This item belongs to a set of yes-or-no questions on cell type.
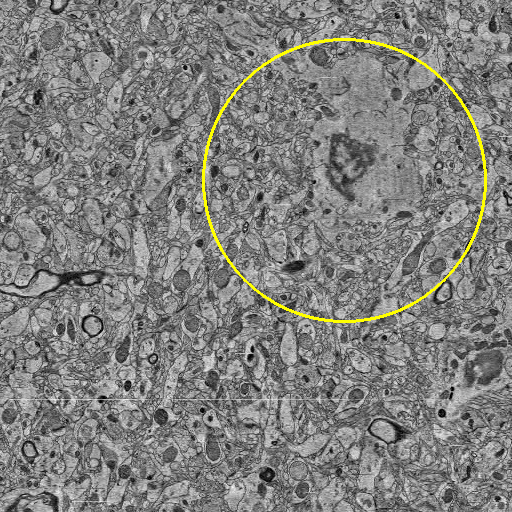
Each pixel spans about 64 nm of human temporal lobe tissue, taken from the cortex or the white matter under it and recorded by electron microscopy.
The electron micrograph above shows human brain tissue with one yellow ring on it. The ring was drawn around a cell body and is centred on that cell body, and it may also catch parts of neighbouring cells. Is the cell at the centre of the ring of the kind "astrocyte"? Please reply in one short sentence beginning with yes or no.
Yes, that cell is of the named kind.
